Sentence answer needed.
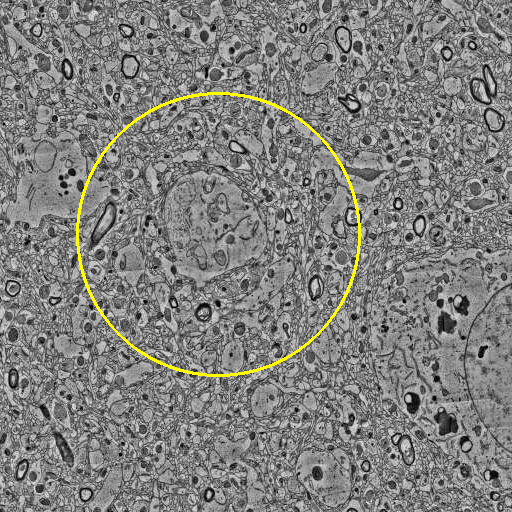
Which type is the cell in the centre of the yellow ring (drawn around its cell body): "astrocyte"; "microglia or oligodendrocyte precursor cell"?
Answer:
In the centre of the yellow ring is an astrocyte.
